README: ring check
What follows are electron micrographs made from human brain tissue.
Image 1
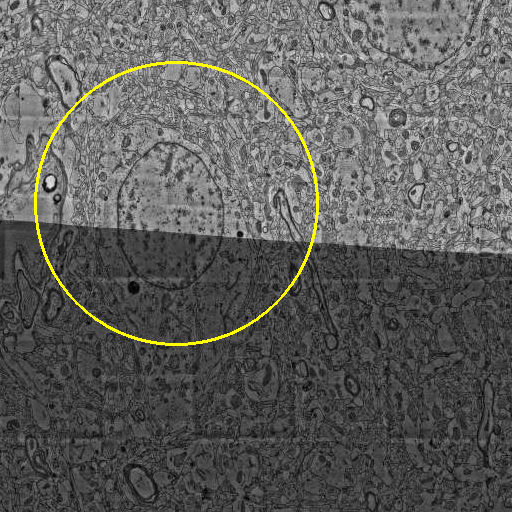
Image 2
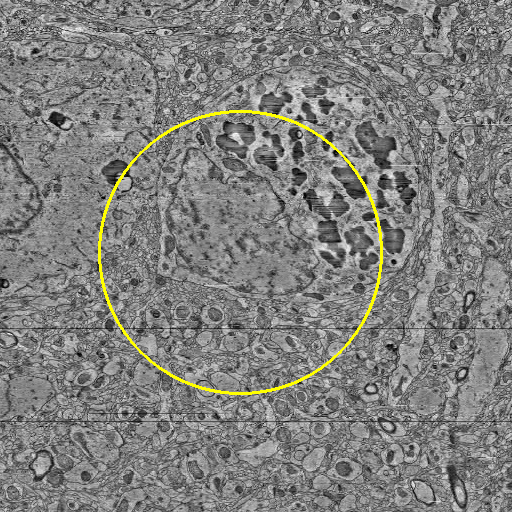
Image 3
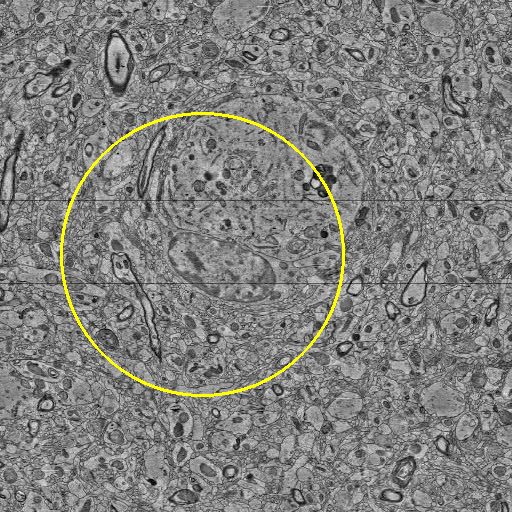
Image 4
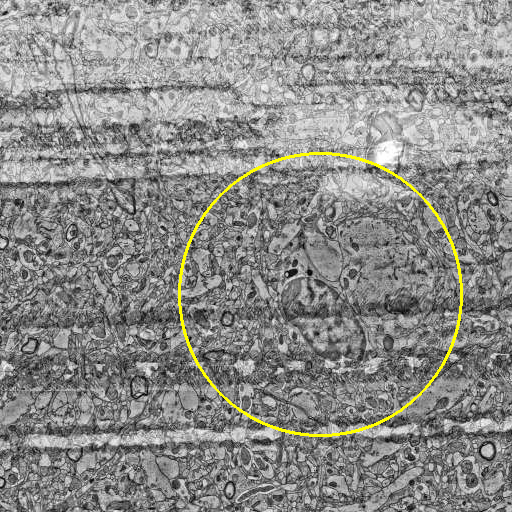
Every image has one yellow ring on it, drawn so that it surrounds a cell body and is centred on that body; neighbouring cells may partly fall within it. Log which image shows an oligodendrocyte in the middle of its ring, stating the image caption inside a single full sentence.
Image 3 is where the cell at the ring's centre matches the one asked for.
